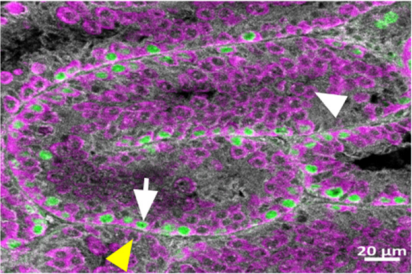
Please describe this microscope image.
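Cross-sections of seminiferous tubules of testicular tissue packed with germ cells. Numerous round cells with purple-stained cytoplasm and grey-white nuclei fill the tubules in several layers. Small cells with bright green nuclei lie in a row along the outer edge of the tubules, close to the basement membrane, among purple cells. Other purple cells without green nuclei lie both at the tubule edge and further inward toward the tubule centre. Narrow spaces between tubules contain a few non-purple nuclei. The tubule centres are darker and less densely populated.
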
